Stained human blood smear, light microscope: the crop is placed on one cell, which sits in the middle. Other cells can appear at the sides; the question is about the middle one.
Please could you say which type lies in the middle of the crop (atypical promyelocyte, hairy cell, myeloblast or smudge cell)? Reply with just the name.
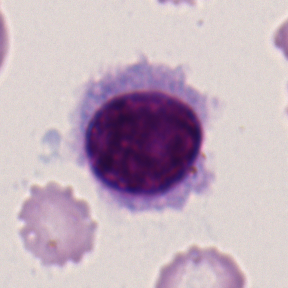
hairy cell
